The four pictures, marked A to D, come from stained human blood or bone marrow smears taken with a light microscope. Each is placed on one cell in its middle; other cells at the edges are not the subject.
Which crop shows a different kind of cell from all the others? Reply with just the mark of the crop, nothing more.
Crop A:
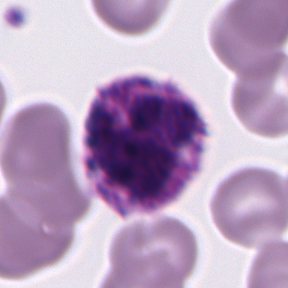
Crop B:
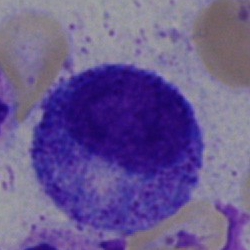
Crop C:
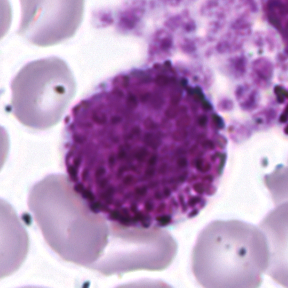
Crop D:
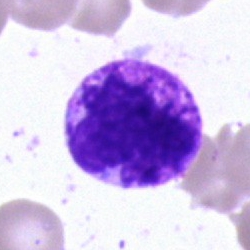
B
